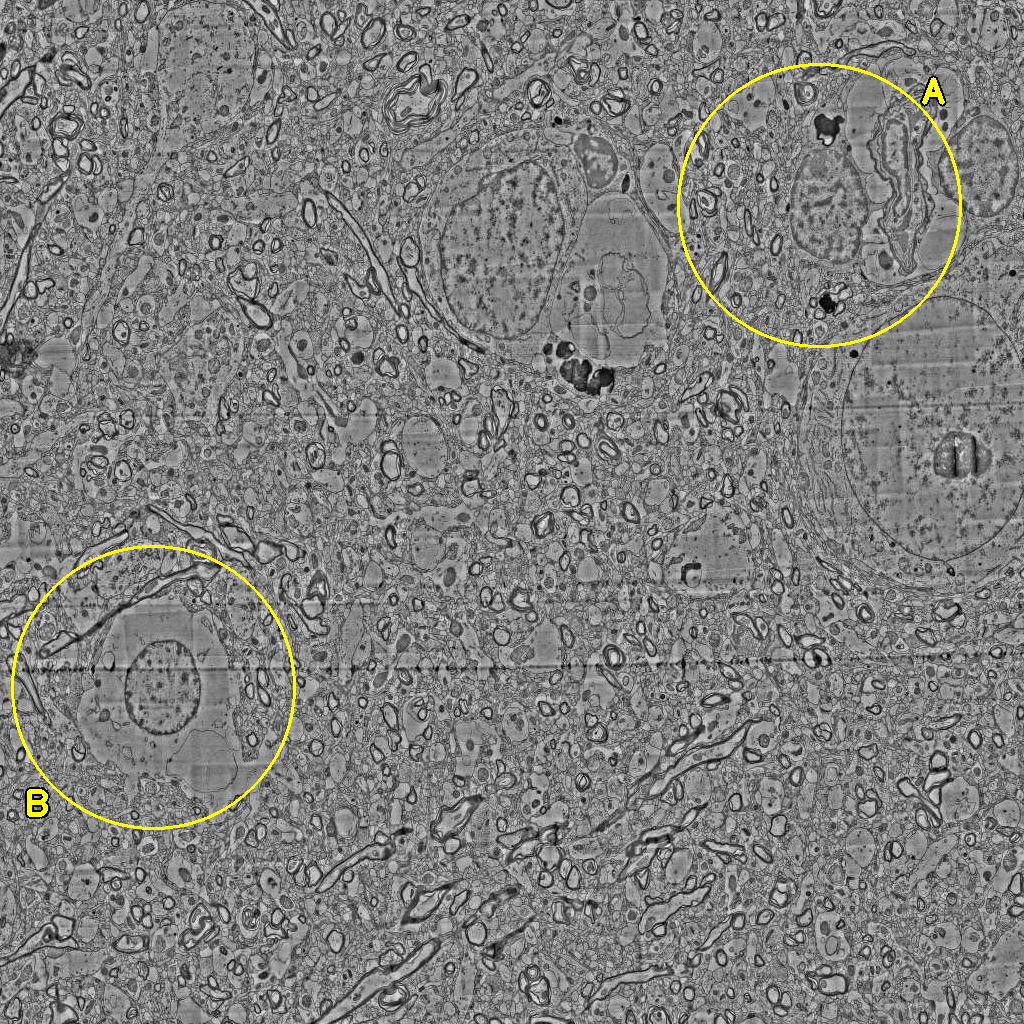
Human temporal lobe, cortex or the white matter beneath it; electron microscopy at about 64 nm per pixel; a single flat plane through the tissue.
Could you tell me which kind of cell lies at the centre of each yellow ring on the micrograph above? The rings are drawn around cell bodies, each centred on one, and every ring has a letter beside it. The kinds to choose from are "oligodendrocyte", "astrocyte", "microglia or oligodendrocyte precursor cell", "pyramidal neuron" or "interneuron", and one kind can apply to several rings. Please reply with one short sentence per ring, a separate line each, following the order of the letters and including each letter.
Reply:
Ring A circles an oligodendrocyte.
Ring B circles an astrocyte.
